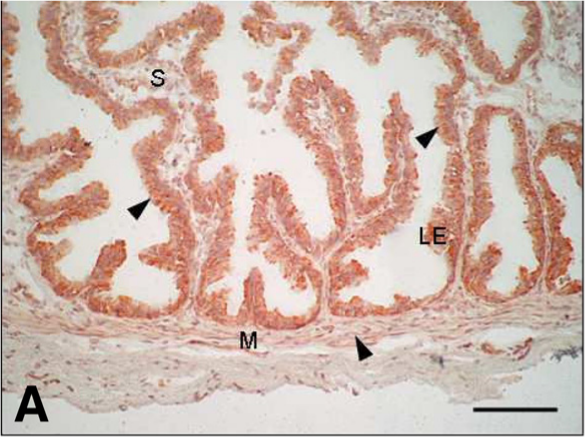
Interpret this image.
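Oviduct mucosa with many tall, slender, branching folds projecting into a wide lumen, each covered by a columnar luminal epithelium around a thin core of stroma. The epithelial cytoplasm is stained red-brown, while the thin layer of smooth muscle at the base and the outer connective tissue are pale.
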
